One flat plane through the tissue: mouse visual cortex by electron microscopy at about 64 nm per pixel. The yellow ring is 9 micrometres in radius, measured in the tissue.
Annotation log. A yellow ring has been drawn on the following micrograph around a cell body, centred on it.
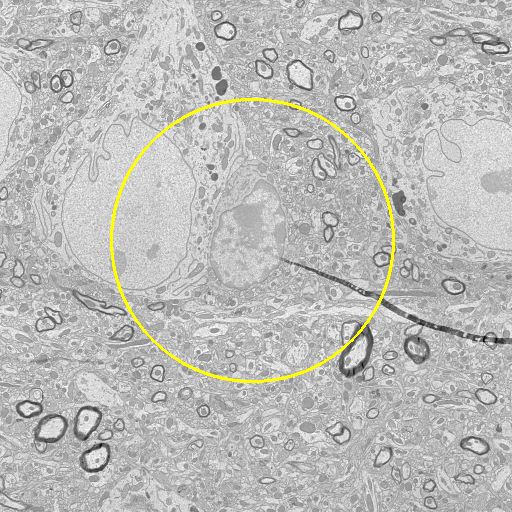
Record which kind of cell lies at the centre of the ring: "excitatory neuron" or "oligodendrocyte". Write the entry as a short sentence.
The cell the ring is centred on is an oligodendrocyte.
